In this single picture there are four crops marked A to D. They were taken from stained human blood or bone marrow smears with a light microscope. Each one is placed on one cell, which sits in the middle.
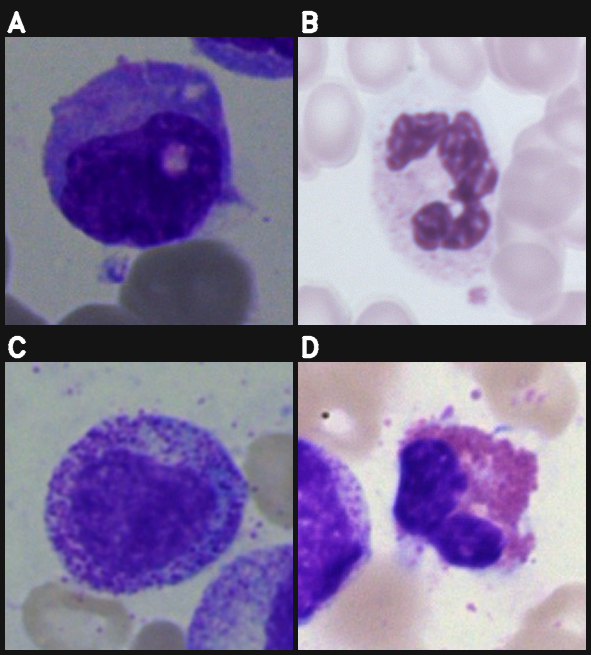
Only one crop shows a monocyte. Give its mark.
A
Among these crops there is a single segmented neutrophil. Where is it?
B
